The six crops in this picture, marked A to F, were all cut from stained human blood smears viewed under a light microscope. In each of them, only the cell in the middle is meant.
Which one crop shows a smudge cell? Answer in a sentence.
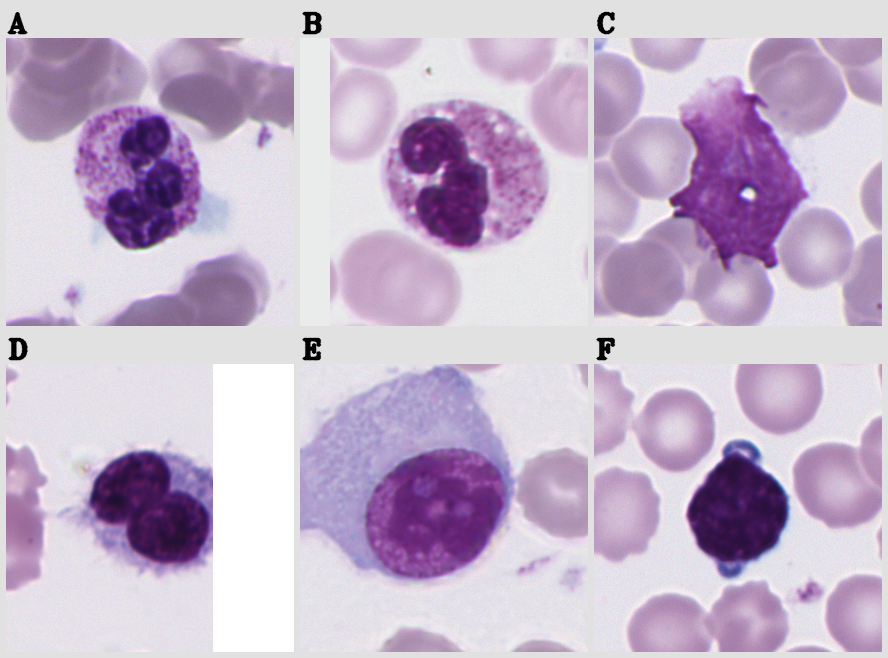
The crop showing a smudge cell in this series is crop C.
